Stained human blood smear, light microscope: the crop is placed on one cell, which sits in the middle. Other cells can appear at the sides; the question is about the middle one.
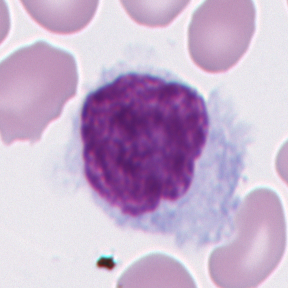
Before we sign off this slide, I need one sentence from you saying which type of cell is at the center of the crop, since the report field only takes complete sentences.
This crop is built around a hairy cell at its centre.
